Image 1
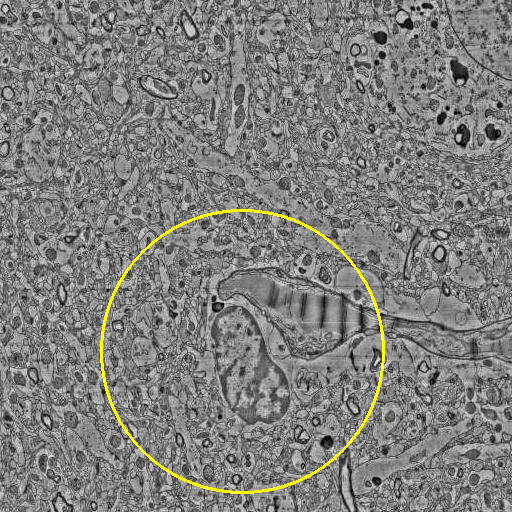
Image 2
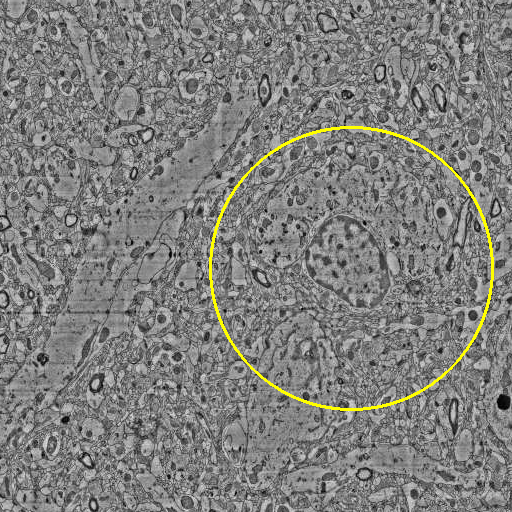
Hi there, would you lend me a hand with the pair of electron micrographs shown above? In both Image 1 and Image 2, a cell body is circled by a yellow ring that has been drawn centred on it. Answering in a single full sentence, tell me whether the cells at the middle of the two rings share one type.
Yes, the ringed cells in Image 1 and Image 2 share one type.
